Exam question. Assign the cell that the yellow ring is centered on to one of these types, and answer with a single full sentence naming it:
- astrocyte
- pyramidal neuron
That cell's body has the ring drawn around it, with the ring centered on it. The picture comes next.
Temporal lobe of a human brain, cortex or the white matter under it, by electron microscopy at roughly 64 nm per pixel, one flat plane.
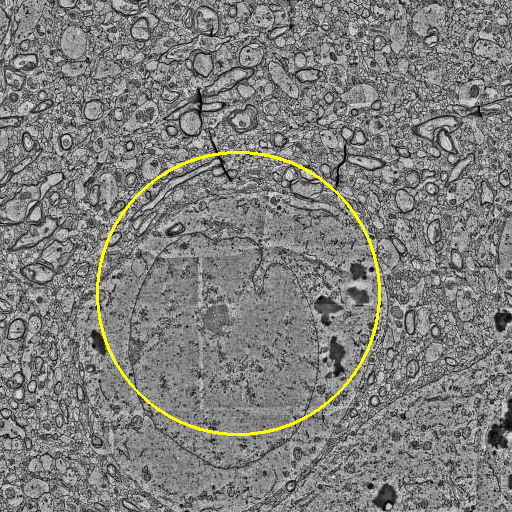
In the micrograph, the cell the yellow ring is centered on is a pyramidal neuron.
